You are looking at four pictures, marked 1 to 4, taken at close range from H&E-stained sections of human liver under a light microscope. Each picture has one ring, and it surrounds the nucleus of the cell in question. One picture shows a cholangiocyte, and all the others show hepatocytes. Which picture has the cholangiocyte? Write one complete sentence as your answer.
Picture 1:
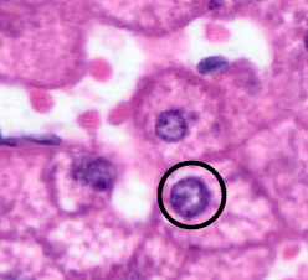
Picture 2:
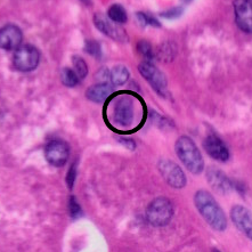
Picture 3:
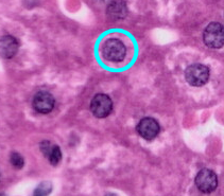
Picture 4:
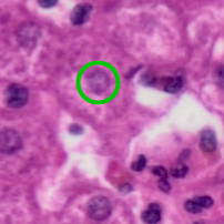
The cell in picture 2 is the cholangiocyte.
